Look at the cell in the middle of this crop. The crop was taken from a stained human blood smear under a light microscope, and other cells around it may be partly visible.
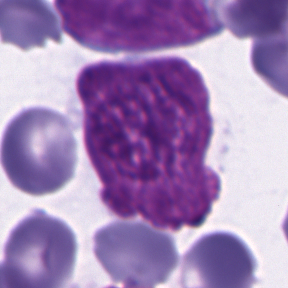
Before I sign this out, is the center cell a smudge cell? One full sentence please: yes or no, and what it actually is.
Yes, the identification of the central cell as a smudge cell is correct.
